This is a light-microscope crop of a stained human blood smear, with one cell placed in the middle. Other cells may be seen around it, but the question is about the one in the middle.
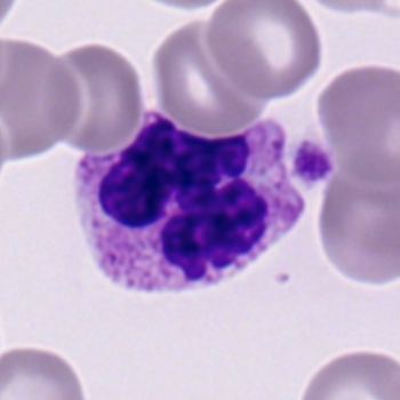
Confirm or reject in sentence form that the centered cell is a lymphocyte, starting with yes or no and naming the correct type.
No, the central cell does not represent a lymphocyte, but a basophil.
